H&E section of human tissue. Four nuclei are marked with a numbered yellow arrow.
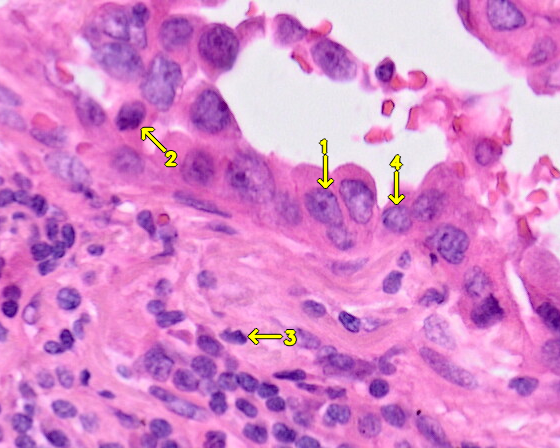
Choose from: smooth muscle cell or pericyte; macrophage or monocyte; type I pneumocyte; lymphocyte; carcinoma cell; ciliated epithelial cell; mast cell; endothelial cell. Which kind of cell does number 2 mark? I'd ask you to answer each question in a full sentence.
The nucleus labelled 2 belongs to a carcinoma cell.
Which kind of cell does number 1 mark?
Recognised here as a carcinoma cell is the cell numbered 1.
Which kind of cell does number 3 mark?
The correct answer for cell 3 is a lymphocyte.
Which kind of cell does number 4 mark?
The cell numbered 4 has been identified as a carcinoma cell.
